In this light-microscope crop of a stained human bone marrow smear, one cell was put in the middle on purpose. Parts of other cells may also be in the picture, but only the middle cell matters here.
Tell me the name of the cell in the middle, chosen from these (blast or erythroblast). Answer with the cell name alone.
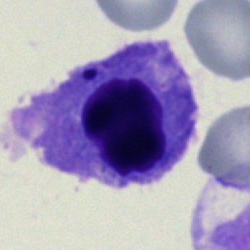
erythroblast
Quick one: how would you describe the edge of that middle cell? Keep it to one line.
An irregular outline, ragged or marked by projections, surrounds this cell.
